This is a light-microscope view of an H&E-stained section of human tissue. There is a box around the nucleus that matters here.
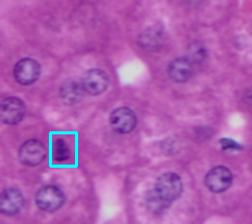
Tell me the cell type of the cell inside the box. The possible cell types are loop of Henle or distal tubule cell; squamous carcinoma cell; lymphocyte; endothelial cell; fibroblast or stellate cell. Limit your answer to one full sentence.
Cell type answer for this item: the cell inside the box is a fibroblast or stellate cell.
